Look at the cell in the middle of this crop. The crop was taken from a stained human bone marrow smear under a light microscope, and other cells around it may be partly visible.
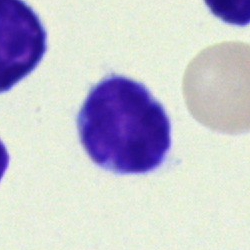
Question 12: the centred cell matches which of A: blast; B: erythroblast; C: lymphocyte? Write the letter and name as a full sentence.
That cell in the center is a lymphocyte, hence option C.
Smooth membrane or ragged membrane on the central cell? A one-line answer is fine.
A ragged or projecting edge replaces the smooth outline in this cell.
